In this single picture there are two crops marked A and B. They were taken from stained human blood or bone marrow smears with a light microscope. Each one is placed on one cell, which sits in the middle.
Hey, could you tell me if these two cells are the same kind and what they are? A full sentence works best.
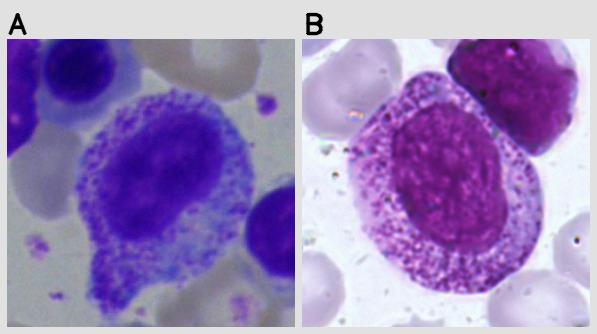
Yes, the cells at the centre of both crops are myelocytes.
